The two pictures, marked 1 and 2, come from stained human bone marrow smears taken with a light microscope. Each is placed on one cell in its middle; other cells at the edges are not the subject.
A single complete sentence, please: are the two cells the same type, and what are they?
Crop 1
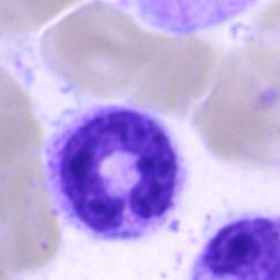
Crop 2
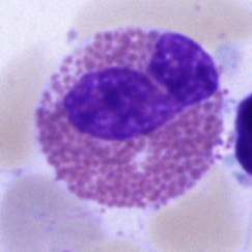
No, crop 1 depicts a band neutrophil; crop 2 depicts an eosinophil.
